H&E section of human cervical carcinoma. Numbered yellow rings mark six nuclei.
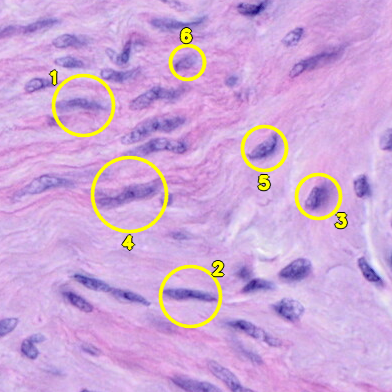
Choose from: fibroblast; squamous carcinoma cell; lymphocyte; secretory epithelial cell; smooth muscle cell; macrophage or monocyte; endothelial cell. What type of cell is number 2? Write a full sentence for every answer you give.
Number 2 is placed on a fibroblast here.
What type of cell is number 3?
The correct label for cell 3 is a fibroblast.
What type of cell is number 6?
Here the cell numbered 6 is a smooth muscle cell.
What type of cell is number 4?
In the marked set, the cell given number 4 is a smooth muscle cell.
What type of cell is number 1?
The mark numbered 1 indicates the nucleus of a smooth muscle cell.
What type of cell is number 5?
The cell identified by the number 5 is a fibroblast.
